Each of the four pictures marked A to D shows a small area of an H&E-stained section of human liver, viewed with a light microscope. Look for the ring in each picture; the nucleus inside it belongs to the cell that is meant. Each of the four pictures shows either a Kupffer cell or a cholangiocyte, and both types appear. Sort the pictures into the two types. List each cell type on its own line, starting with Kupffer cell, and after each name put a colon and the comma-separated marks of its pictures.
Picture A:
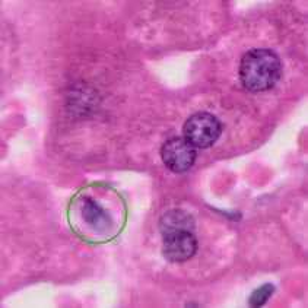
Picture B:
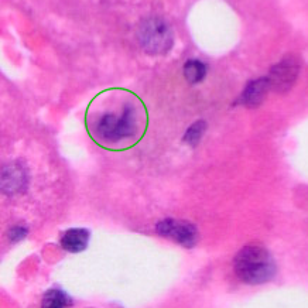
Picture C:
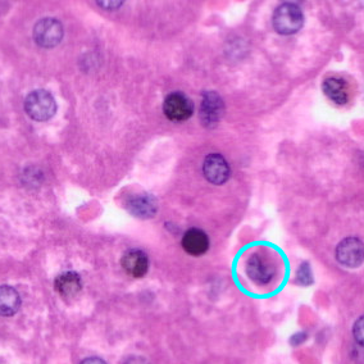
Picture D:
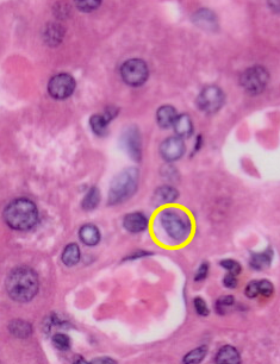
Kupffer cell: A, B, C
cholangiocyte: D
